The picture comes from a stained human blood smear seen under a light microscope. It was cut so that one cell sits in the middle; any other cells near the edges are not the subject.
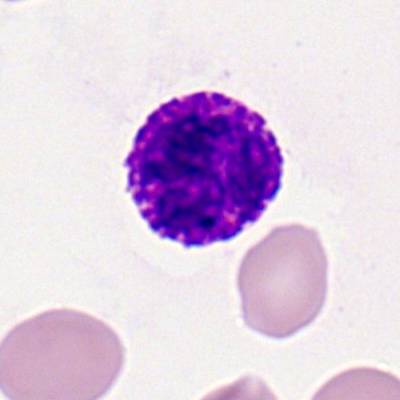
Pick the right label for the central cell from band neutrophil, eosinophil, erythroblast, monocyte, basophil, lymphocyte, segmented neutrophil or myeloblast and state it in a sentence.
The centered cell in this crop is a basophil.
